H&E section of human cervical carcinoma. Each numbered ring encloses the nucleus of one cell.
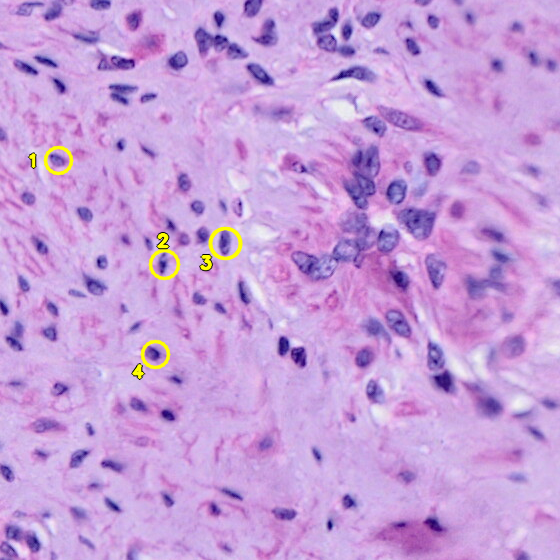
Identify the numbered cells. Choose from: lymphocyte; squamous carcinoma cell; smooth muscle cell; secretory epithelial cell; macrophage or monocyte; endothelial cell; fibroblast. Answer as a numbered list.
1. smooth muscle cell
2. smooth muscle cell
3. fibroblast
4. smooth muscle cell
